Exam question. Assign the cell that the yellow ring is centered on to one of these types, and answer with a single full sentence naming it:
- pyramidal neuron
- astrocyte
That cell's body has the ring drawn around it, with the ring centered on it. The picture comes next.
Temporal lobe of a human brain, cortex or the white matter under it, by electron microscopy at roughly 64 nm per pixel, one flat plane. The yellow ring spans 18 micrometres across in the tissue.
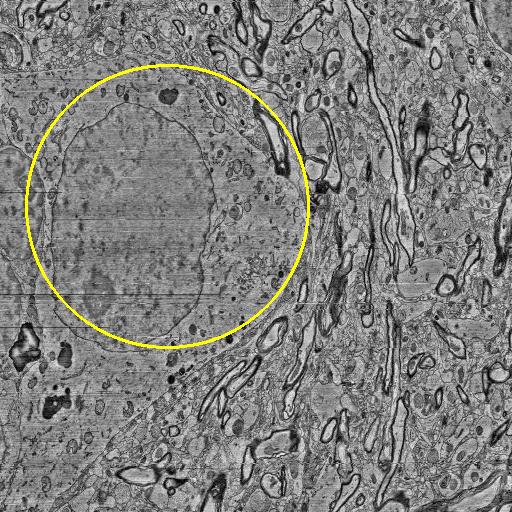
In the micrograph, the cell the yellow ring is centered on is a pyramidal neuron.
